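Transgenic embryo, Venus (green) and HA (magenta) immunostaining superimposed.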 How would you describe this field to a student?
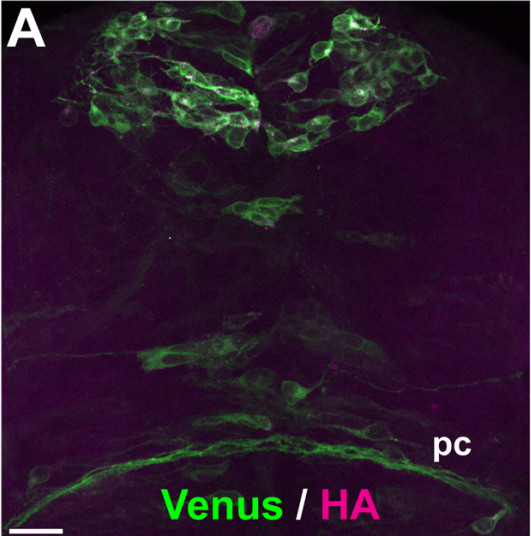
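Two dense clusters of rounded green cell bodies lie side by side at the top, with thin green fibres weaving between them. Smaller groups of green cells sit along the midline further down, and a broad arching bundle of green fibres crosses the lower part of the image. Faint magenta dots sit mainly within the upper clusters of cell bodies, whereas the fibre bundles are essentially green alone.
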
